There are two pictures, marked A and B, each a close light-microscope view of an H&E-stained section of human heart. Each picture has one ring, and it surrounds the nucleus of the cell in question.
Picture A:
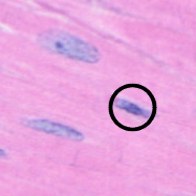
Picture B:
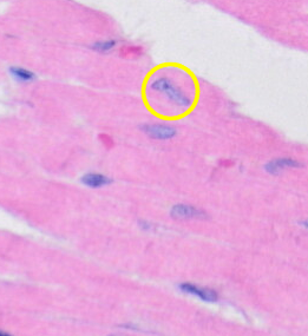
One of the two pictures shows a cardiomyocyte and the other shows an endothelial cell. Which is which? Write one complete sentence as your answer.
The cell in picture A is an endothelial cell, and the one in picture B is a cardiomyocyte.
